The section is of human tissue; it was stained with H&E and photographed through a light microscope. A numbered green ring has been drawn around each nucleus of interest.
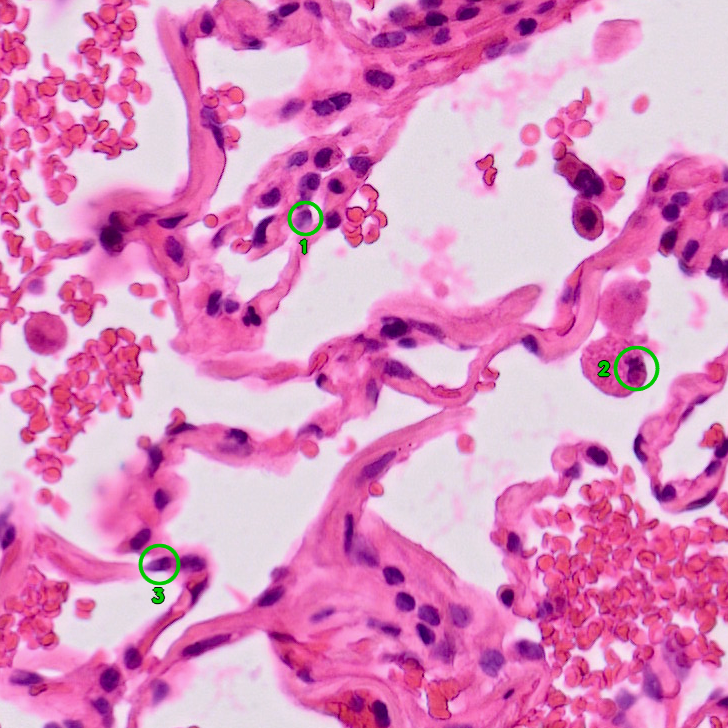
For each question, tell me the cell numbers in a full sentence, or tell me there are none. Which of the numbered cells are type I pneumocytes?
Cells 1 and 3 in the section are typed as type I pneumocytes.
